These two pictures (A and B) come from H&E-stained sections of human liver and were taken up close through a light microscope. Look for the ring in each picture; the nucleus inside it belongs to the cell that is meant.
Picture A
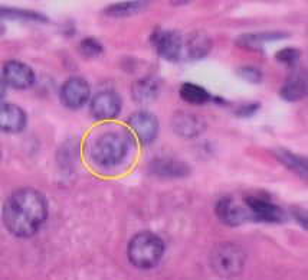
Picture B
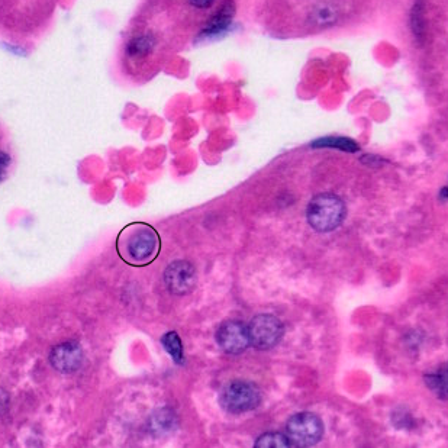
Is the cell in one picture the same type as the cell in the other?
yes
